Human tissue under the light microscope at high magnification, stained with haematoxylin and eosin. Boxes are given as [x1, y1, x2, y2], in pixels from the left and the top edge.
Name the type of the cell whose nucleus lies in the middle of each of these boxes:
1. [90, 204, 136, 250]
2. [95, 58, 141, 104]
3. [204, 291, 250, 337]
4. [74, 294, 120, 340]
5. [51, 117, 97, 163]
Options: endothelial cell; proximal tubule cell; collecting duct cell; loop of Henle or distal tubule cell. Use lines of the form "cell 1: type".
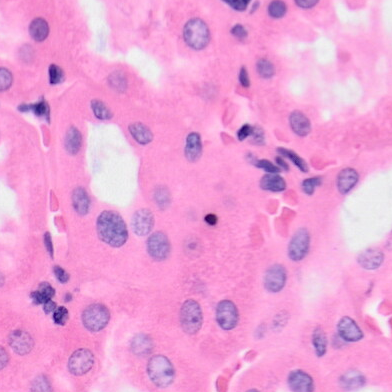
cell 1: loop of Henle or distal tubule cell
cell 2: proximal tubule cell
cell 3: proximal tubule cell
cell 4: proximal tubule cell
cell 5: loop of Henle or distal tubule cell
